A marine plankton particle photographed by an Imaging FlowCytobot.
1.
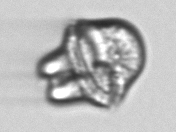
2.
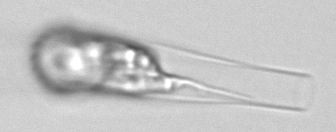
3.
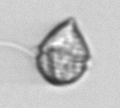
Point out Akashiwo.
That is picture 1.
